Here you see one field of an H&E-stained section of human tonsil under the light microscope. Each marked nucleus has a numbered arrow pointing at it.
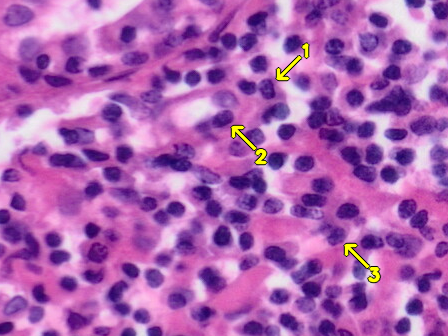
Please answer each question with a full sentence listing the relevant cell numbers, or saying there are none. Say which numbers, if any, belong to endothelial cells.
Just one numbered cell is an endothelial cell, and that cell is number 2.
